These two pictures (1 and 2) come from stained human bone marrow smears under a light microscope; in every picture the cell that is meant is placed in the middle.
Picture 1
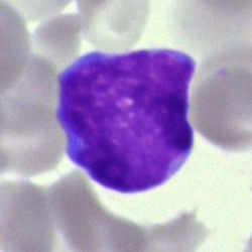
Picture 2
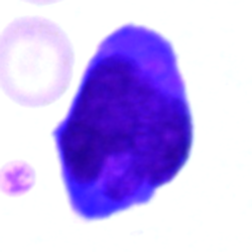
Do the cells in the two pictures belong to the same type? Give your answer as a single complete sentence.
Yes; the cells in both pictures are blasts.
